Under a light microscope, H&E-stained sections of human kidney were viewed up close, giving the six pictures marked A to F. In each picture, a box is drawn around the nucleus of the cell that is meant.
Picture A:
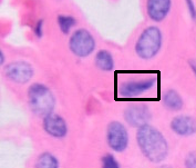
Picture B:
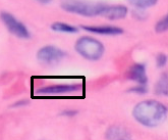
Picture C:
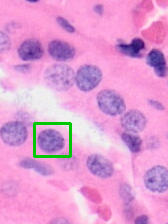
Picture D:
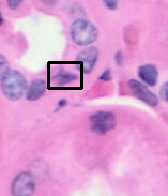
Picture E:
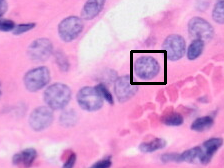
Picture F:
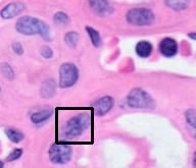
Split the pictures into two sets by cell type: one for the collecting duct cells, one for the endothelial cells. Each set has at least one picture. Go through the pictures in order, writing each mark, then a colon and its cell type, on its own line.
A: endothelial cell
B: endothelial cell
C: collecting duct cell
D: collecting duct cell
E: collecting duct cell
F: collecting duct cell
